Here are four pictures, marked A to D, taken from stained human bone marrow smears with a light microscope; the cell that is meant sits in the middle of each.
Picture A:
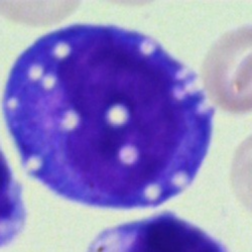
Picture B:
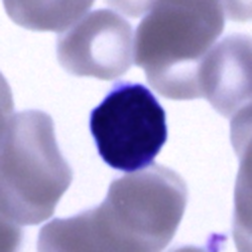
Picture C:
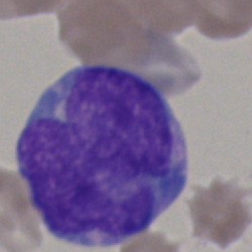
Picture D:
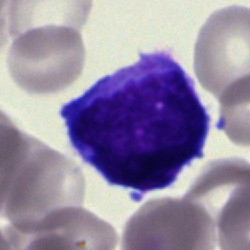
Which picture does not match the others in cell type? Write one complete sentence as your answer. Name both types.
Picture B is the odd one out: it shows a lymphocyte, while the others show blasts.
